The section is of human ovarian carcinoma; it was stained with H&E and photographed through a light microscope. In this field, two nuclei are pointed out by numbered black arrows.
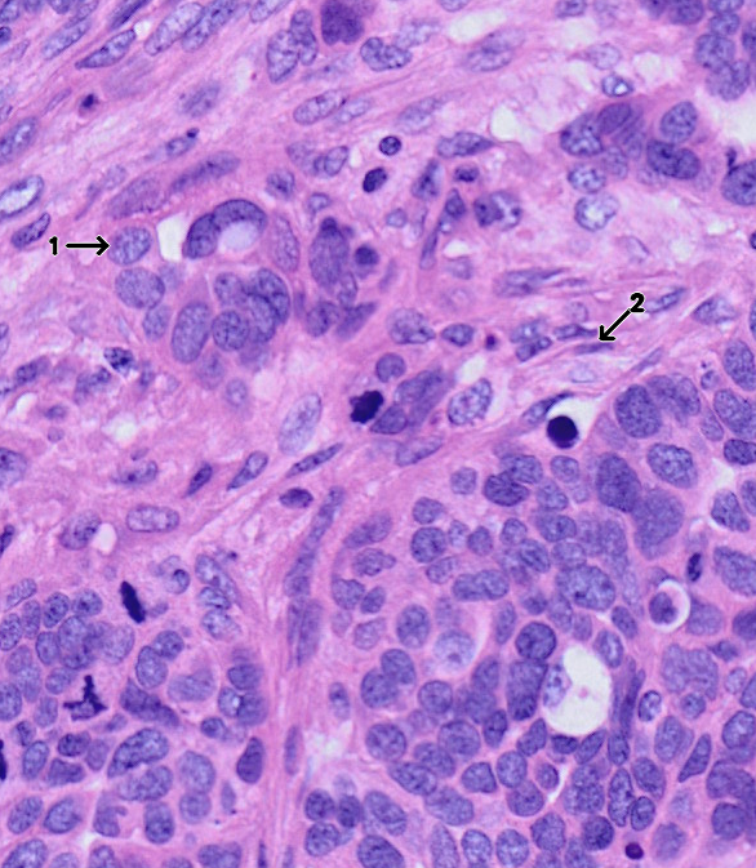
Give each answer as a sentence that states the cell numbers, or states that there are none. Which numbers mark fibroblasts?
In this set of numbered cells, only cell 2 is a fibroblast.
